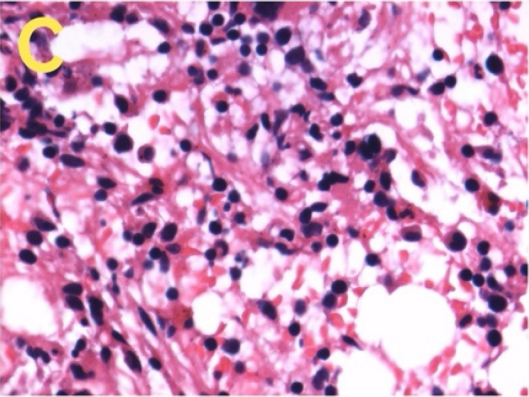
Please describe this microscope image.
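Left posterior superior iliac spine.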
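This bone marrow section shows loose, pale pink stroma interspersed with many clear, rounded empty spaces of varying size. Scattered throughout lie cells with small, round, dark and dense nuclei and little visible cytoplasm. Some of these cells lie singly and others form small loose clusters. Pink fibrillar material and scattered red blood cells fill much of the background between the clear spaces. The marrow appears loosely textured rather than densely cellular.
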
